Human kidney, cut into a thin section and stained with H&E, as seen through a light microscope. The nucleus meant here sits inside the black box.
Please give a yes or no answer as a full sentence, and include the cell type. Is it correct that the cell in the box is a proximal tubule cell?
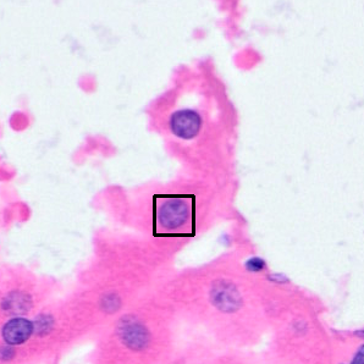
Yes, the cell in the box is a proximal tubule cell; nothing to add.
